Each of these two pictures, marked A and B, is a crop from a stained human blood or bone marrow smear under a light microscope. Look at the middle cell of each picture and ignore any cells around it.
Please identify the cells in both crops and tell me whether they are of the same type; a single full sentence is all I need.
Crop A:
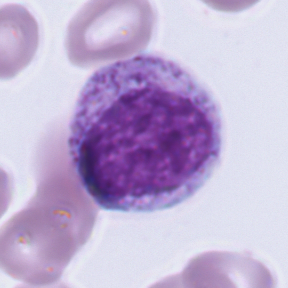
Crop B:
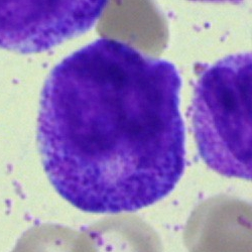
No, crop A displays a myelocyte, and crop B displays a promyelocyte.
